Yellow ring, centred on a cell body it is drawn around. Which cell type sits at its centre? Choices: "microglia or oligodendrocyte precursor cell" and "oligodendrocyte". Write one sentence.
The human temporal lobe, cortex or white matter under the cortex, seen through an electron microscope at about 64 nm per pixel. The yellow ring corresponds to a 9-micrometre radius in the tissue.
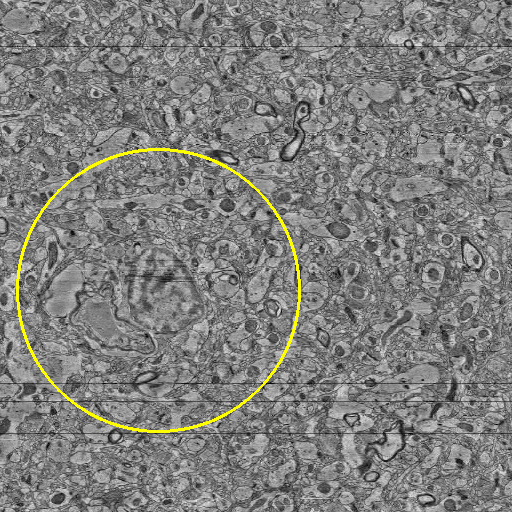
At the centre of the ring sits an oligodendrocyte.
